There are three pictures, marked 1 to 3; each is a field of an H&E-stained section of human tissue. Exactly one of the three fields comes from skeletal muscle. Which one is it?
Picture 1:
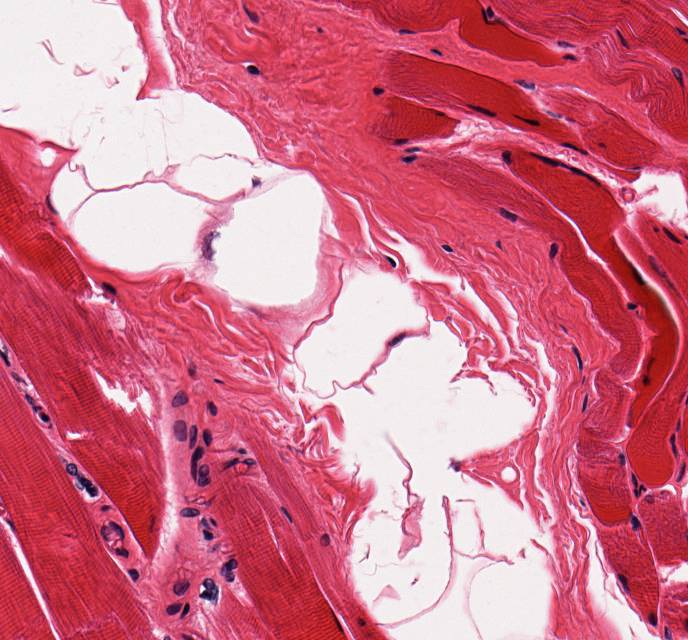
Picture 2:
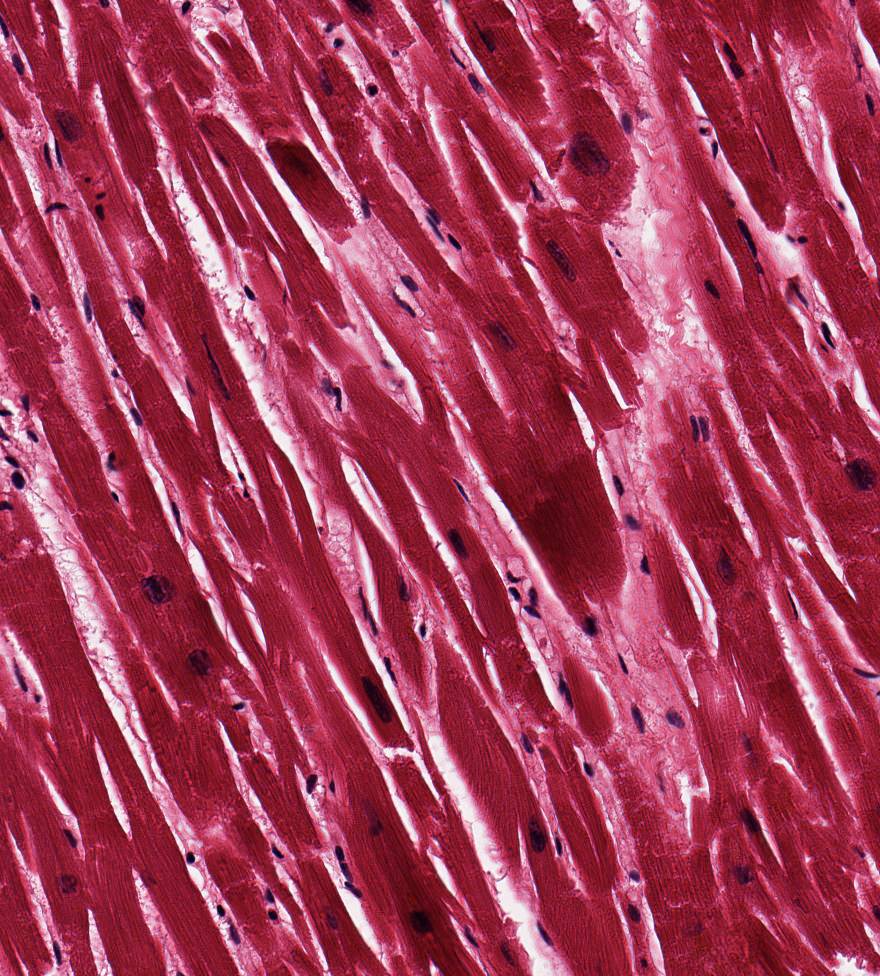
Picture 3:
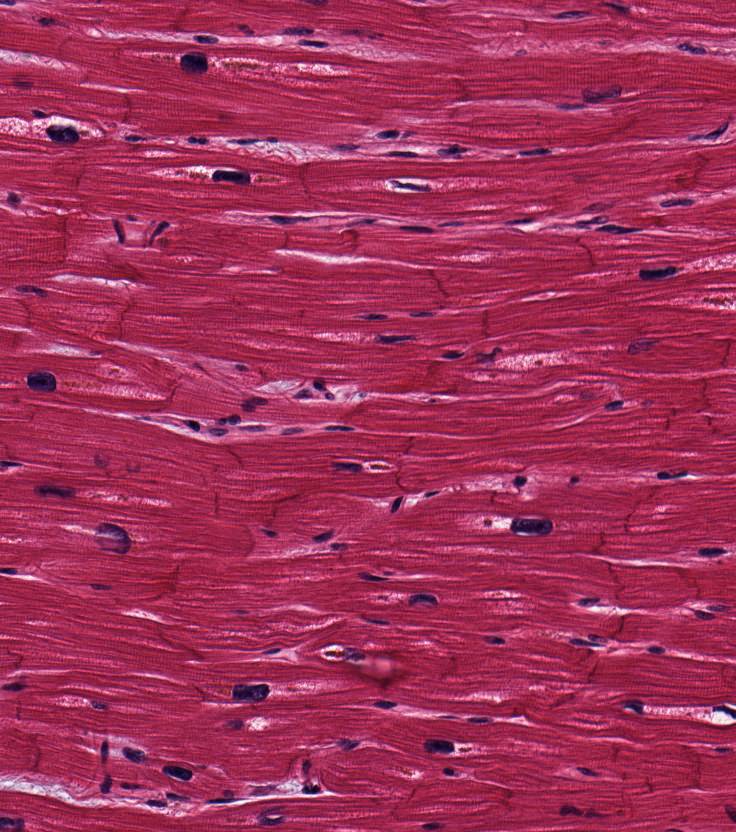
1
